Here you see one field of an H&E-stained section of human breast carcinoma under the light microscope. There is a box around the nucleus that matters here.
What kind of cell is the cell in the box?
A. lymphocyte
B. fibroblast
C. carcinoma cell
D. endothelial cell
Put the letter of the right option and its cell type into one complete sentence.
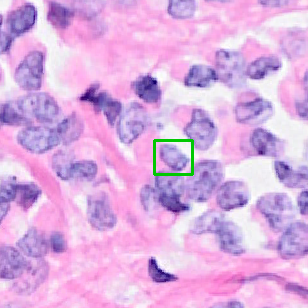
Option C wins here: the cell in the box is a carcinoma cell.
